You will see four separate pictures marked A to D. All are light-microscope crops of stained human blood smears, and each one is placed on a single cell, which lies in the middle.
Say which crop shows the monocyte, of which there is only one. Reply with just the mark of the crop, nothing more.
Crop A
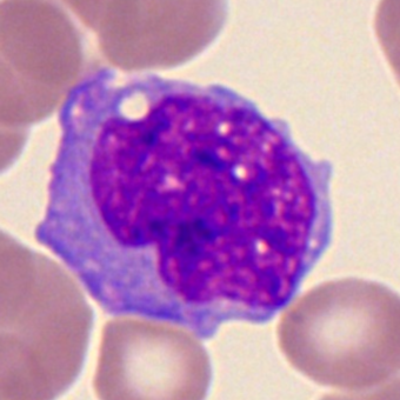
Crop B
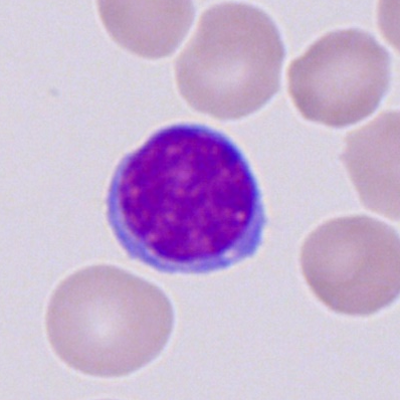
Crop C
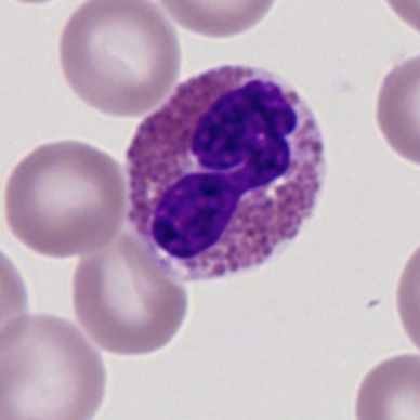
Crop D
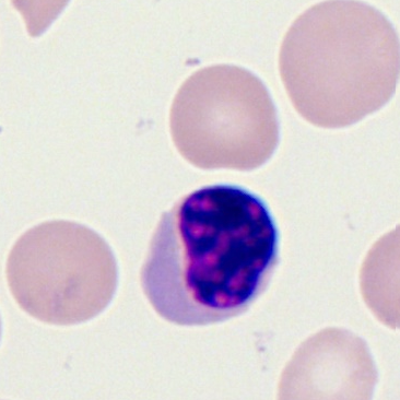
A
